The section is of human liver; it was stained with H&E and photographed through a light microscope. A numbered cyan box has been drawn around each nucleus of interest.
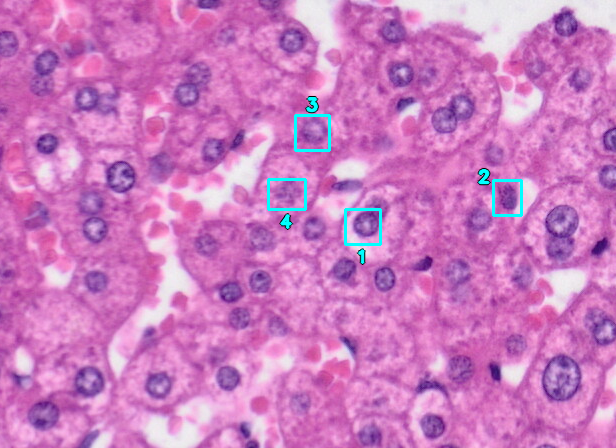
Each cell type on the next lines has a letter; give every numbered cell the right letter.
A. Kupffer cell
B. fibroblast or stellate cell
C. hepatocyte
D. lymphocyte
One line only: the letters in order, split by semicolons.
C; A; C; C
